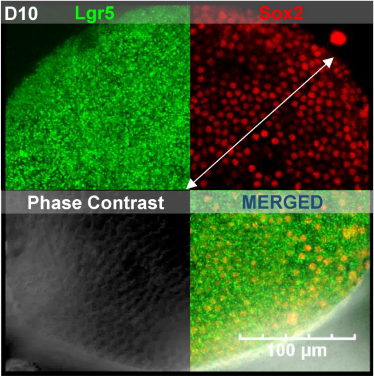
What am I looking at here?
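In the green view a dense, granular green signal covers the packed cells throughout. The red view shows numerous small, round red nuclei crowded evenly across the mass, with a bright red spot at the upper edge. The phase-contrast view shows a grey mass with a smooth curved edge. In the merged view many orange and yellow dots lie among the green, where red nuclei coincide with green cells.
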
